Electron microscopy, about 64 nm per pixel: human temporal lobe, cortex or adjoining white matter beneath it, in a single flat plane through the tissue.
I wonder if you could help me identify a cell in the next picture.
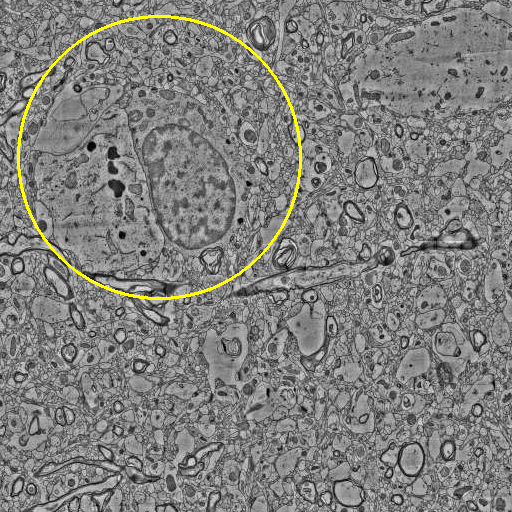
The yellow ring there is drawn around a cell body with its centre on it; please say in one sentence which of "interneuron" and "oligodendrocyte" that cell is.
The yellow ring is centred on an oligodendrocyte.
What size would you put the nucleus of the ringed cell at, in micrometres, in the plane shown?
In this plane, approximately 8 by 6 micrometers.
